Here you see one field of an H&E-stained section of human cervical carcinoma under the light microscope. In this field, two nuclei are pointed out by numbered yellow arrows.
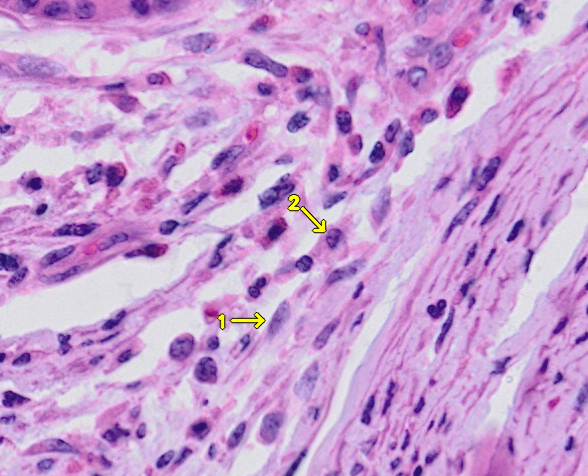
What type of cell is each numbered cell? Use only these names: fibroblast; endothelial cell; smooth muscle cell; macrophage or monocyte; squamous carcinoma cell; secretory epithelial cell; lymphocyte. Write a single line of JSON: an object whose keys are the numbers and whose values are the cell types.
{"1": "fibroblast", "2": "macrophage or monocyte"}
